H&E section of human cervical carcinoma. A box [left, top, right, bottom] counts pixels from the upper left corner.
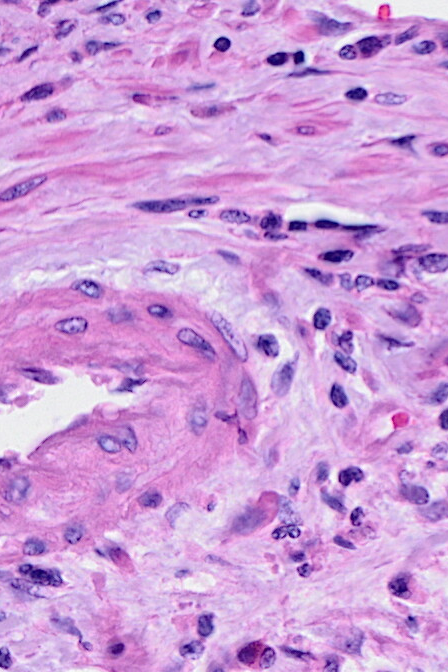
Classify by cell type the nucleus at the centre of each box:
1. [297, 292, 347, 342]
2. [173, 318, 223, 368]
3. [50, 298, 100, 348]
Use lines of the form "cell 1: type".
cell 1: lymphocyte
cell 2: smooth muscle cell
cell 3: smooth muscle cell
